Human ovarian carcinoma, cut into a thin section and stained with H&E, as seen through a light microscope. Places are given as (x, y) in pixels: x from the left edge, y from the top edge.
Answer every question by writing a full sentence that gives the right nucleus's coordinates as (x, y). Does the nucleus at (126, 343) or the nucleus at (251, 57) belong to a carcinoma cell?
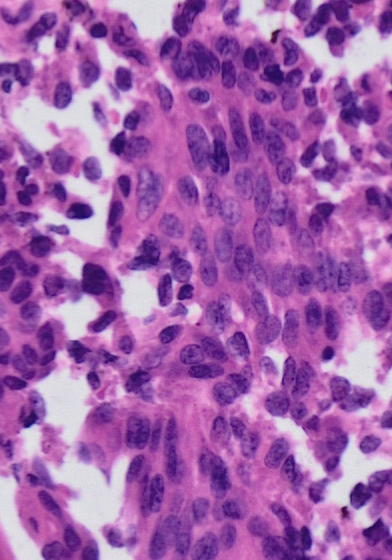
So, of the two, the nucleus at (251, 57) is the one belonging to a carcinoma cell.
